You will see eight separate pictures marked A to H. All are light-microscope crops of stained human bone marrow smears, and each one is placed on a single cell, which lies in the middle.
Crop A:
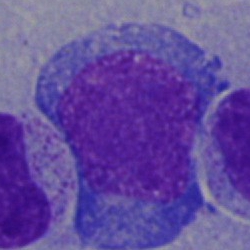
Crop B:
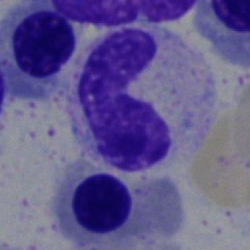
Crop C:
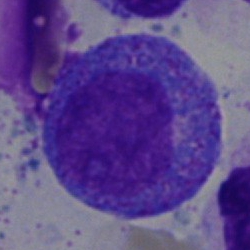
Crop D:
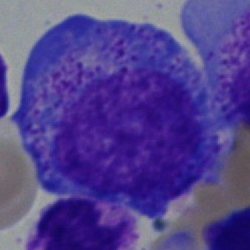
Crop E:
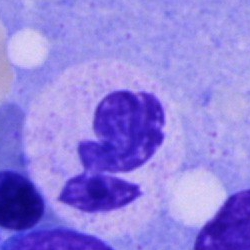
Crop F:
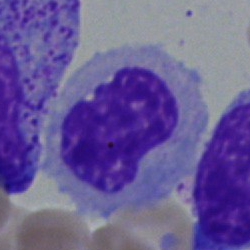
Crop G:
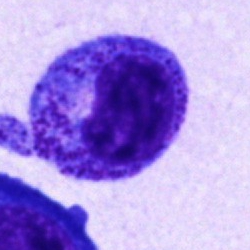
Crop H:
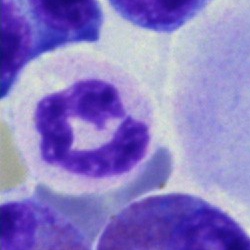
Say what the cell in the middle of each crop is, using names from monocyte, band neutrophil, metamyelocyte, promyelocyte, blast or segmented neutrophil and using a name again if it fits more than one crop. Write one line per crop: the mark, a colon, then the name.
A: blast
B: band neutrophil
C: promyelocyte
D: promyelocyte
E: segmented neutrophil
F: metamyelocyte
G: promyelocyte
H: segmented neutrophil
